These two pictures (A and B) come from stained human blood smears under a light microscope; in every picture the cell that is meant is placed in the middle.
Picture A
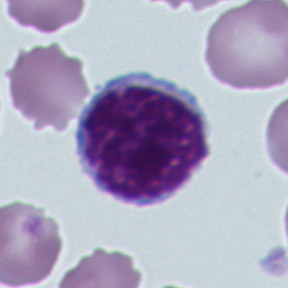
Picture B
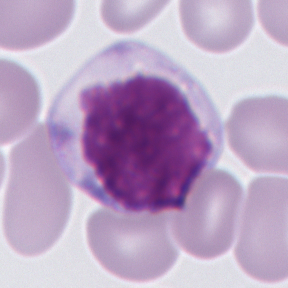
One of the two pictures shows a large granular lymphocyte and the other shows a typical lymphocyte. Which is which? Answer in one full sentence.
It is picture A that shows a typical lymphocyte, and picture B that shows a large granular lymphocyte.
